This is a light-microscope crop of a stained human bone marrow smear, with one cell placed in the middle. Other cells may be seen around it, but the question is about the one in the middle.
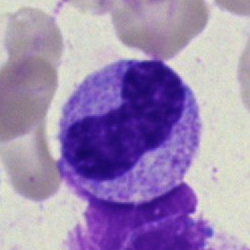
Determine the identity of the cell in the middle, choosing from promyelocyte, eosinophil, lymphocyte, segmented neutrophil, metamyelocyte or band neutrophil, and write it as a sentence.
What the crop centres on is a band neutrophil.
